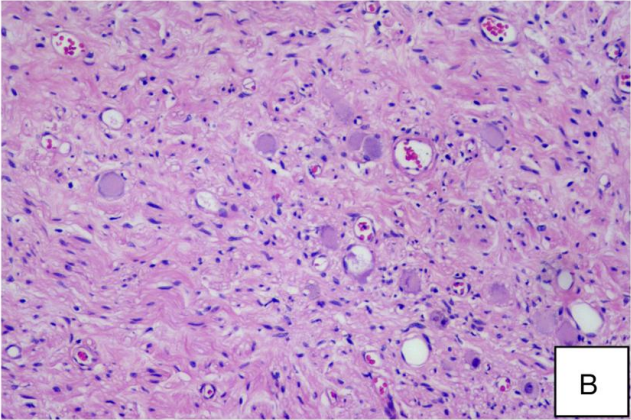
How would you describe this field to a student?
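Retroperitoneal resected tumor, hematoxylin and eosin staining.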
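This section shows fascicles of spindle cells with scattered mature ganglion cells in a pink fibrillary stroma. The spindle cells have elongated, slender, often wavy dark purple nuclei arranged in loose streams. Scattered among them are much larger round cells with abundant pale purple cytoplasm, some showing a round nucleus. Small thin-walled vessels containing red blood cells are dispersed through the tissue. There is no crowding of small round cells.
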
